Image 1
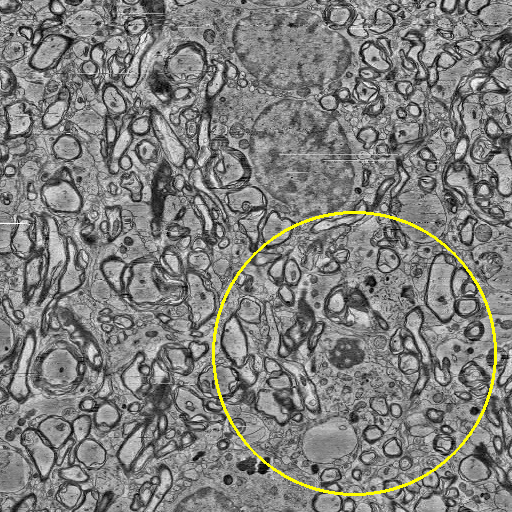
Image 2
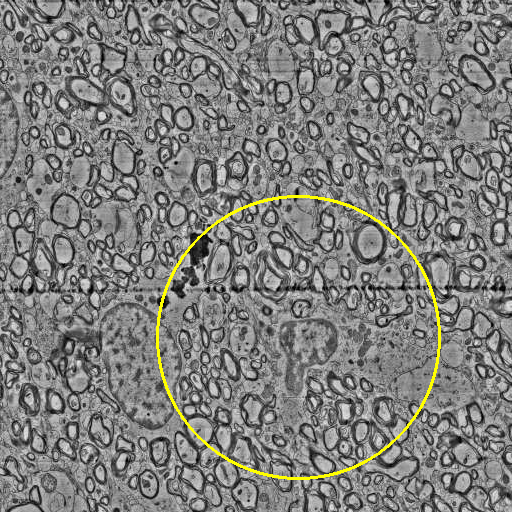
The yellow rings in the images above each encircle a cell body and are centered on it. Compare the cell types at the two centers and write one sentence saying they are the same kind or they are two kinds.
Taken together, the two cells at the ring centers are the same kind.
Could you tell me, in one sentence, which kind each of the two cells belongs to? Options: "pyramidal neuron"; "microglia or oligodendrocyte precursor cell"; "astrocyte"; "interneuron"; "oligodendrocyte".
In both pictures the ring is centred on a microglial cell or oligodendrocyte precursor cell.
